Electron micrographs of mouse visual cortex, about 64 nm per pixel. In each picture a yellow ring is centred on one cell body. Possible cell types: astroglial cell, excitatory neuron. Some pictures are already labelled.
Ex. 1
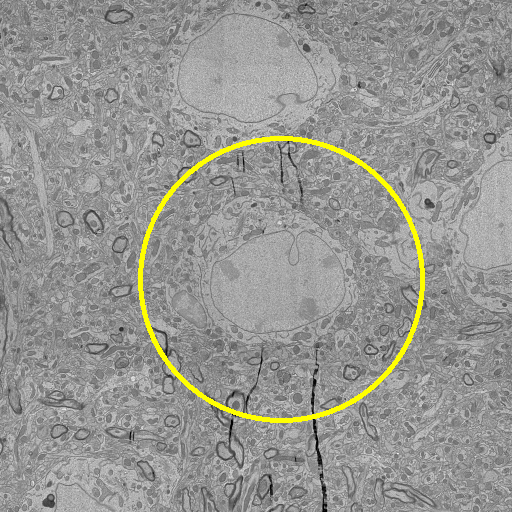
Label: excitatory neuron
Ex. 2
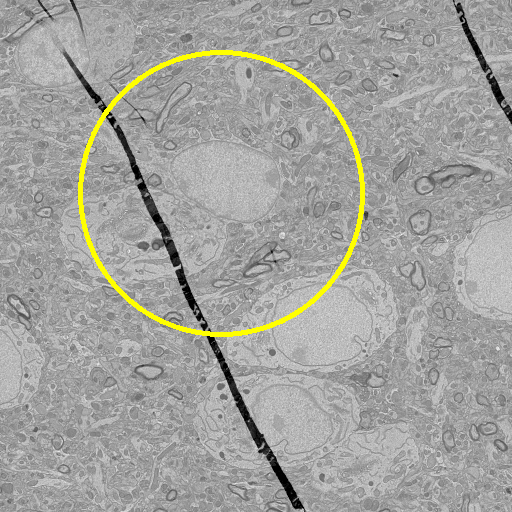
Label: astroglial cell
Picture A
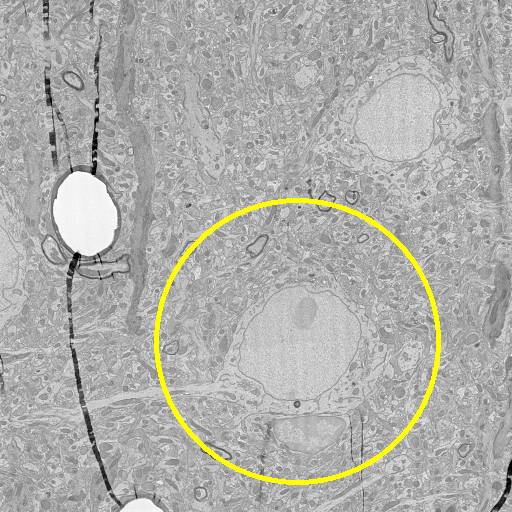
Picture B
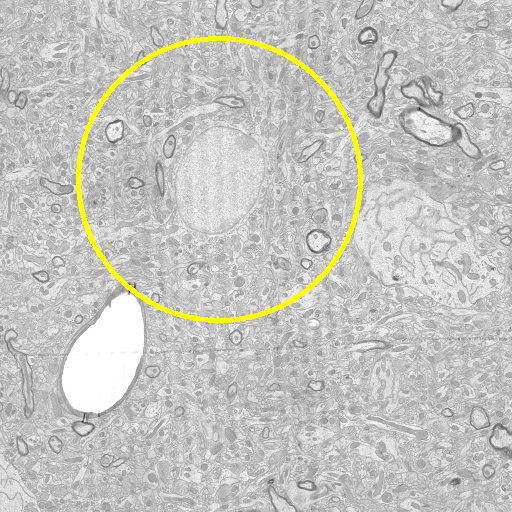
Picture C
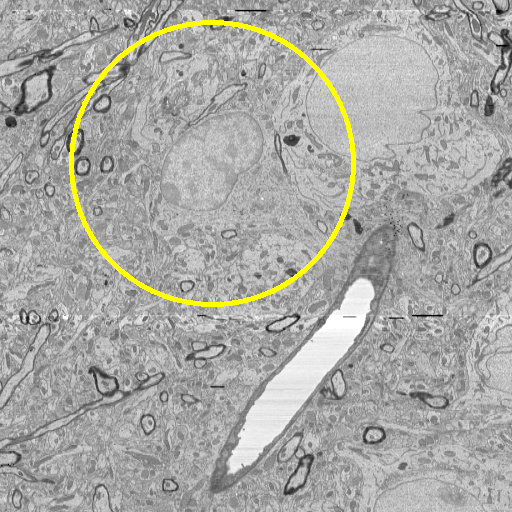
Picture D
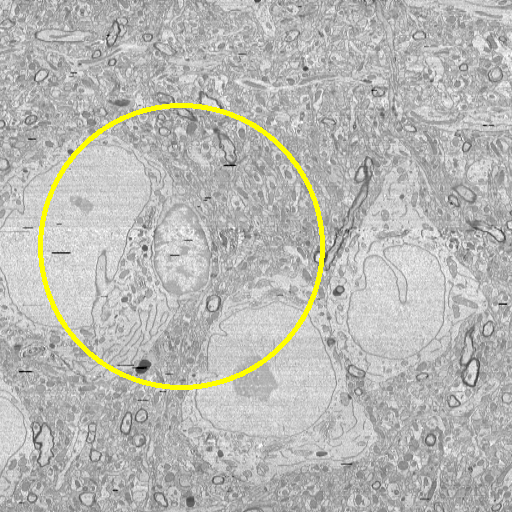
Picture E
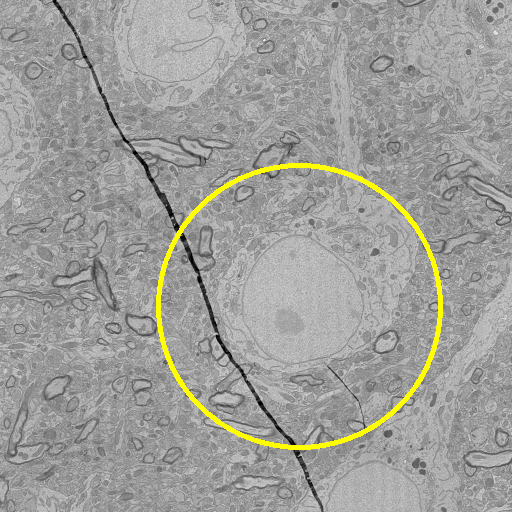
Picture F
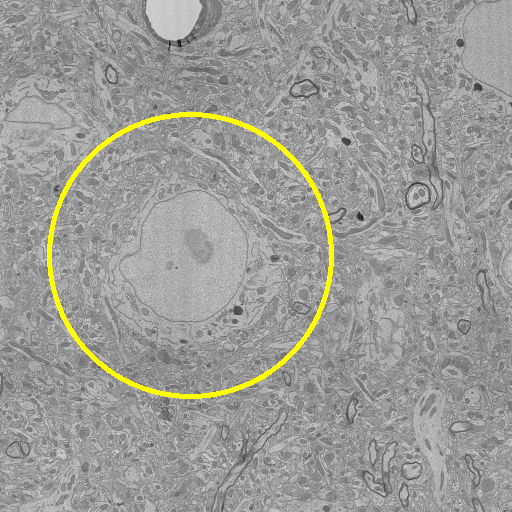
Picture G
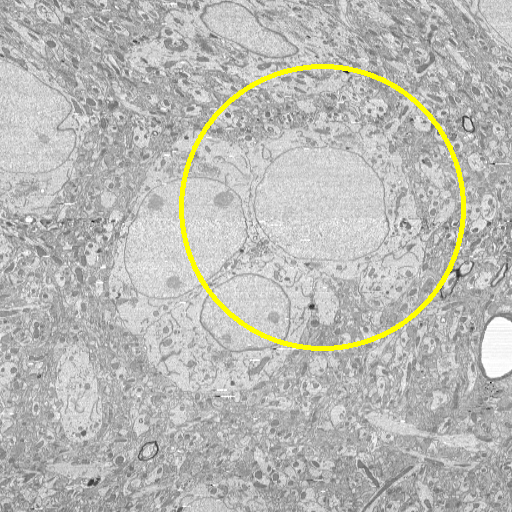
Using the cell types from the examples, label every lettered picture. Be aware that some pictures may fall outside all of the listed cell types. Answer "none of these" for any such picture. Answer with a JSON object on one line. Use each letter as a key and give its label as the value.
{"A": "excitatory neuron", "B": "astroglial cell", "C": "none of these", "D": "none of these", "E": "excitatory neuron", "F": "excitatory neuron", "G": "excitatory neuron"}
